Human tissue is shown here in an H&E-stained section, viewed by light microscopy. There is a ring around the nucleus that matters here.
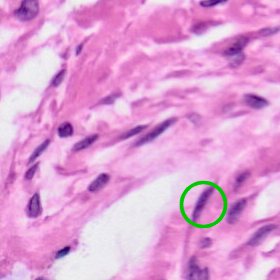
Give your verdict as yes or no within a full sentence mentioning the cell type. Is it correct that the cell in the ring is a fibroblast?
Yes, the cell in the ring is identified as a fibroblast in this section.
